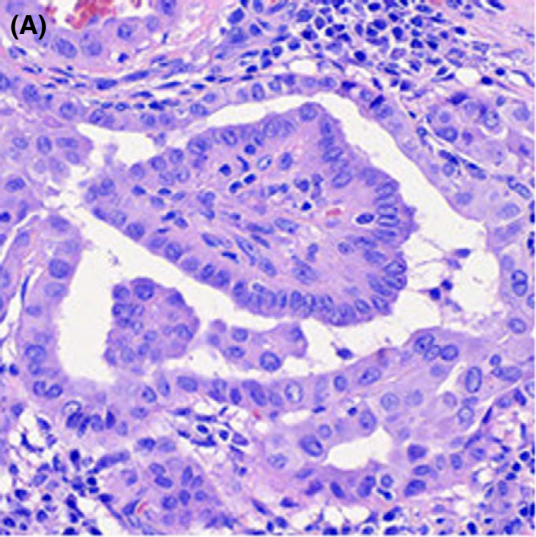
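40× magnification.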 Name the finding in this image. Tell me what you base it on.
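The lining cells have enlarged, pale, overlapping nuclei. The answer: Classical type papillary thyroid carcinoma.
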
